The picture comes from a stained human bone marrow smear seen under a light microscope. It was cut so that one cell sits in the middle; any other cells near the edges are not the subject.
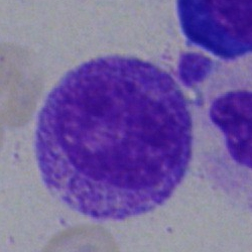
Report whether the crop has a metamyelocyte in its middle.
no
